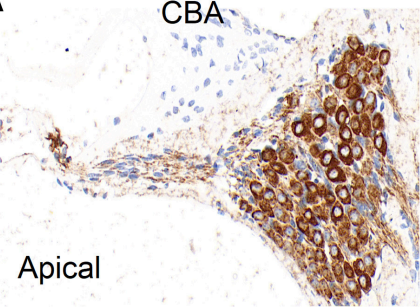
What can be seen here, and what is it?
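This section of the cochlea shows a spiral ganglion, a wedge-shaped cluster of large neuron cell bodies stained brown. The neurons are round to oval, with dense brown cytoplasm and a central, pale, round nucleus. They are packed closely together within the cluster. A bundle of brown-stained fibres runs out of the ganglion towards the left. Around the ganglion, loose tissue holds scattered small cells with blue, elongated or oval nuclei.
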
